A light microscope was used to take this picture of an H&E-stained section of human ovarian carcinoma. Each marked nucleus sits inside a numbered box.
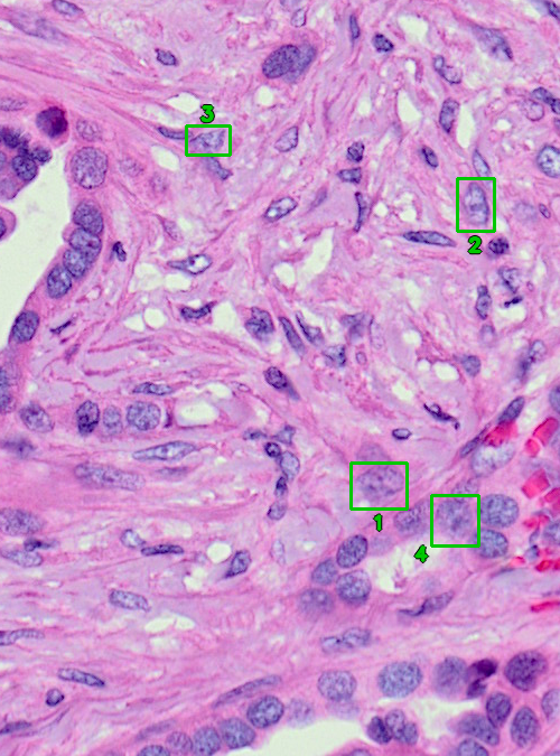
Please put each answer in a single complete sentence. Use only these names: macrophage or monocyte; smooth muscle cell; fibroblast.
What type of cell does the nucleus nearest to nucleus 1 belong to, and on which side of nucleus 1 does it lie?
The nearest one is a fibroblast, found above nucleus 1.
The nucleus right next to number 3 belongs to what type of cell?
It is a fibroblast whose nucleus is nearest to number 3.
